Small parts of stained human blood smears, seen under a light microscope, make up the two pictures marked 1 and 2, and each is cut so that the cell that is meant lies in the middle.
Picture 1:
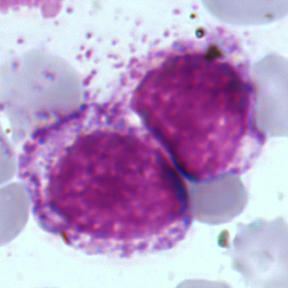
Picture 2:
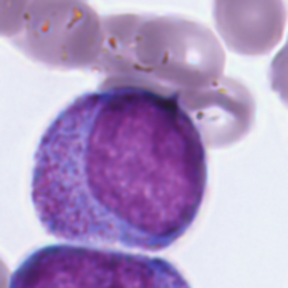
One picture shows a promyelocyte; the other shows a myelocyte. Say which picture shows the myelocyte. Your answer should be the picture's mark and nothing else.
1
